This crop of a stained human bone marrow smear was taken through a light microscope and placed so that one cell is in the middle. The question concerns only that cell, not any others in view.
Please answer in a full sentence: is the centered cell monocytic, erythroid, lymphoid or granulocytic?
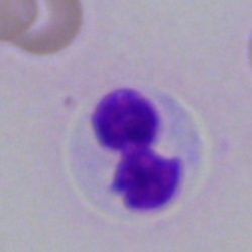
The cell in the middle of the crop is considered part of the granulocytic lineage.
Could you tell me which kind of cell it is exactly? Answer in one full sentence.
Whatever else lies nearby, the middle cell is a segmented neutrophil.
